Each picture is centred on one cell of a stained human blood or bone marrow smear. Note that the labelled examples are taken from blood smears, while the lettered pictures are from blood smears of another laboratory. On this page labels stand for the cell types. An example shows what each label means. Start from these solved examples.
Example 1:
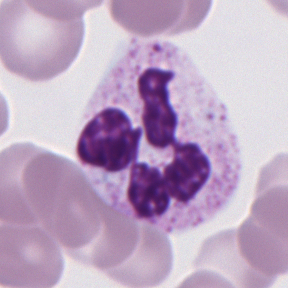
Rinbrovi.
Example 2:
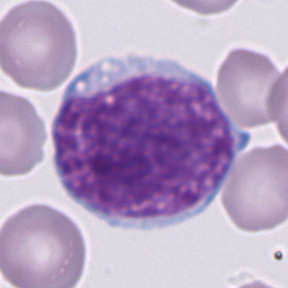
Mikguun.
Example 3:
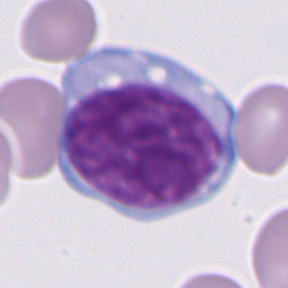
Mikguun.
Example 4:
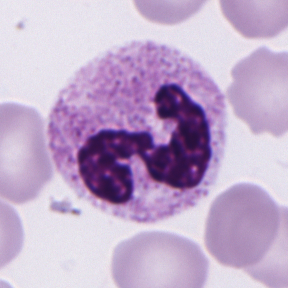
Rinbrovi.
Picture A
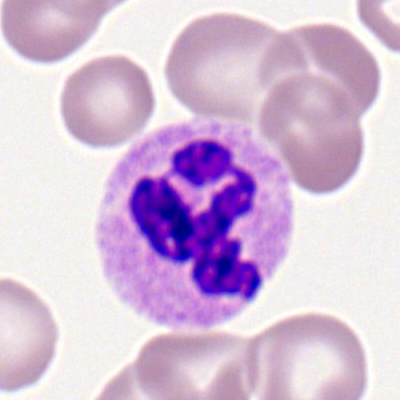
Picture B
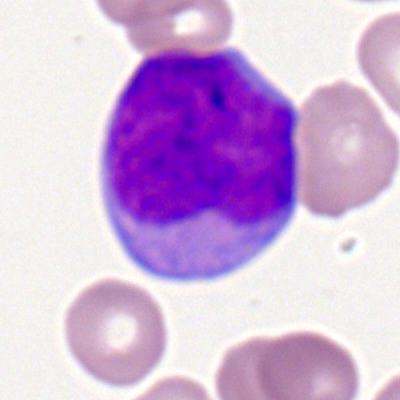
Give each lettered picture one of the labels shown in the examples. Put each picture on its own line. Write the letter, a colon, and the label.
A: Rinbrovi.
B: Mikguun.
